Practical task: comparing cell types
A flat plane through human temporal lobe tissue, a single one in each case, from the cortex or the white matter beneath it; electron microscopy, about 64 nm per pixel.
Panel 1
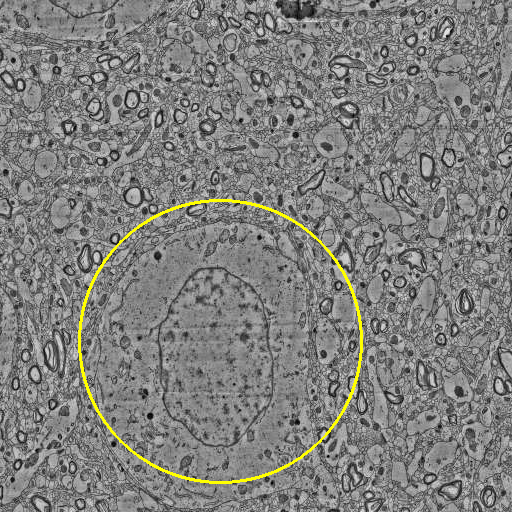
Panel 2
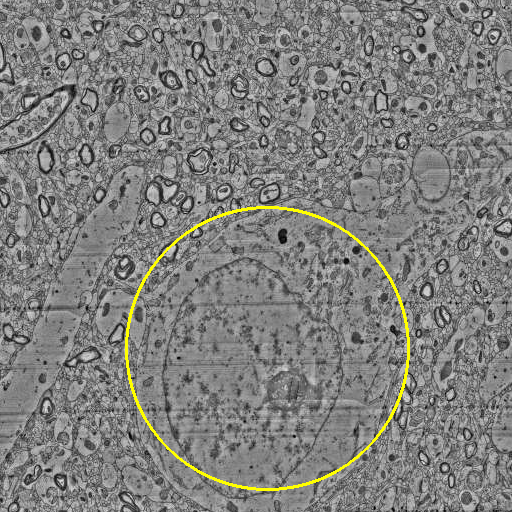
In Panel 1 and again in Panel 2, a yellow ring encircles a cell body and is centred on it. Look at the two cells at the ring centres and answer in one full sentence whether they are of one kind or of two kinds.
The two cells sitting at the ring centres of Panels 1 and 2 are of one kind.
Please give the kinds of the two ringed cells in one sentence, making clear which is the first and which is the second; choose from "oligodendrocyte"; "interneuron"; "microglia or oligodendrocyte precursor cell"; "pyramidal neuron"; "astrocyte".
In both pictures the ring is centred on a pyramidal neuron.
